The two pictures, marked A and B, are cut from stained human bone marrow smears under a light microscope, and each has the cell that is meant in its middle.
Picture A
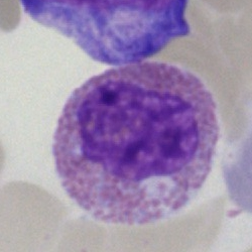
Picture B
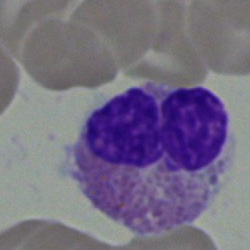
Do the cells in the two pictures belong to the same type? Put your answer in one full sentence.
Yes, both cells are eosinophils.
